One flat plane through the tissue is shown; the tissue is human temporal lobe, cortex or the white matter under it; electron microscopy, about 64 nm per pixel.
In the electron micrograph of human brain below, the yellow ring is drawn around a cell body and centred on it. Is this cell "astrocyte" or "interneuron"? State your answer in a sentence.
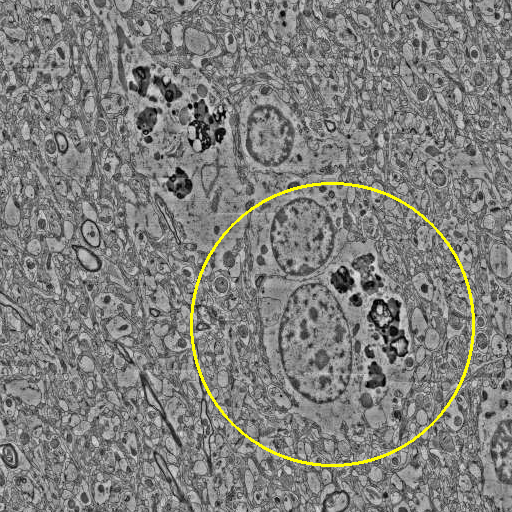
The cell in the middle of the ring is an astrocyte.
